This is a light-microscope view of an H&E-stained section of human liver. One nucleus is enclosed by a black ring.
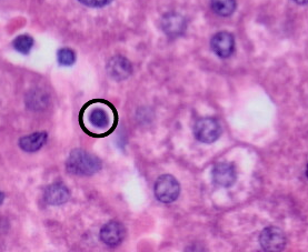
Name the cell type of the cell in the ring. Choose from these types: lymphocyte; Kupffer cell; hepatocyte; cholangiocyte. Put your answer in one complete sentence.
In this preparation, the cell in the ring is a lymphocyte.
